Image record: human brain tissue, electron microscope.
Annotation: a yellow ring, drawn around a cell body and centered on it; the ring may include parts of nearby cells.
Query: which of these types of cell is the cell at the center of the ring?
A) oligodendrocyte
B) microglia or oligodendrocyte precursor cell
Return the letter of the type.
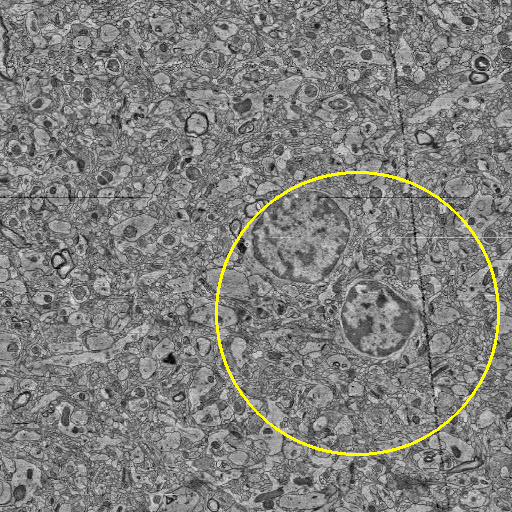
B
